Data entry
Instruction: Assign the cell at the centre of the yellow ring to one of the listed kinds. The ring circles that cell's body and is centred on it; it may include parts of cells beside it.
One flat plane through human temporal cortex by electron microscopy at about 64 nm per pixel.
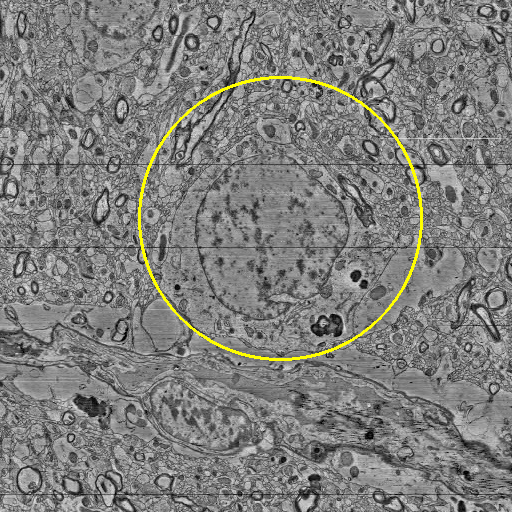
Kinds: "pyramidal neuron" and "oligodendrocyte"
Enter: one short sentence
The centre of the ring falls on a pyramidal neuron.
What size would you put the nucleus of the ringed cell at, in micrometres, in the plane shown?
The nucleus appears about 10 micrometres across in this plane.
